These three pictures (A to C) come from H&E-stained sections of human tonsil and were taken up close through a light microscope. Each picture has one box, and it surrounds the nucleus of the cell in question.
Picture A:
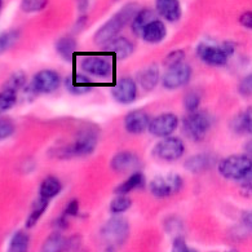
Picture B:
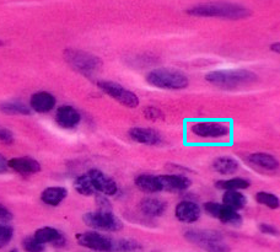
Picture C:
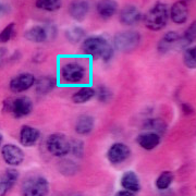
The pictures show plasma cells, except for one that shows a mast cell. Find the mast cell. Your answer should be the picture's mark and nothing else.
B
